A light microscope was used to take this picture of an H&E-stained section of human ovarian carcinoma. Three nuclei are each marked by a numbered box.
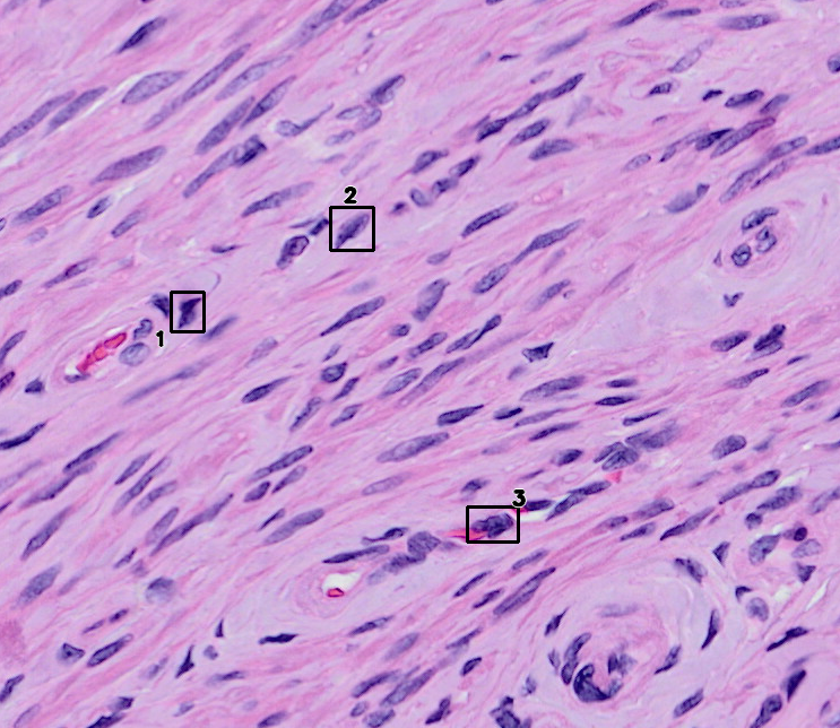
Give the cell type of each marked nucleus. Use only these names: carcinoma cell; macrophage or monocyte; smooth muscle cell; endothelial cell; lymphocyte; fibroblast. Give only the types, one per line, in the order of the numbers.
fibroblast
fibroblast
endothelial cell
